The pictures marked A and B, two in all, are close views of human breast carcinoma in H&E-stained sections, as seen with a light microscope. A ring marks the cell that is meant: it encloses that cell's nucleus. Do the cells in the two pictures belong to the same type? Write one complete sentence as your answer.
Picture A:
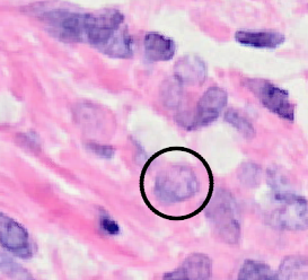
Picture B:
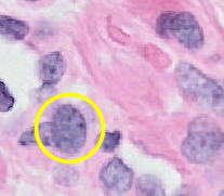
Yes, they are the same type: both are carcinoma cells.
